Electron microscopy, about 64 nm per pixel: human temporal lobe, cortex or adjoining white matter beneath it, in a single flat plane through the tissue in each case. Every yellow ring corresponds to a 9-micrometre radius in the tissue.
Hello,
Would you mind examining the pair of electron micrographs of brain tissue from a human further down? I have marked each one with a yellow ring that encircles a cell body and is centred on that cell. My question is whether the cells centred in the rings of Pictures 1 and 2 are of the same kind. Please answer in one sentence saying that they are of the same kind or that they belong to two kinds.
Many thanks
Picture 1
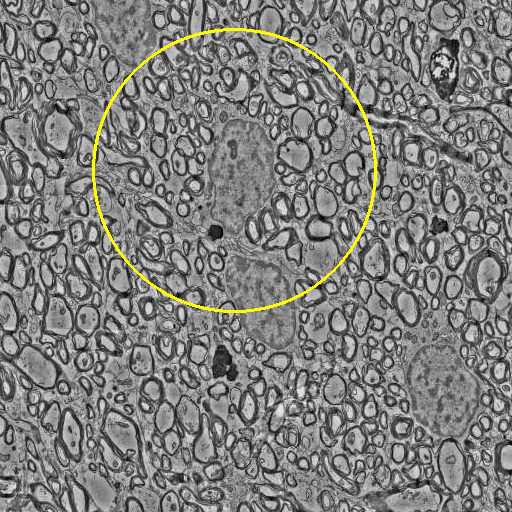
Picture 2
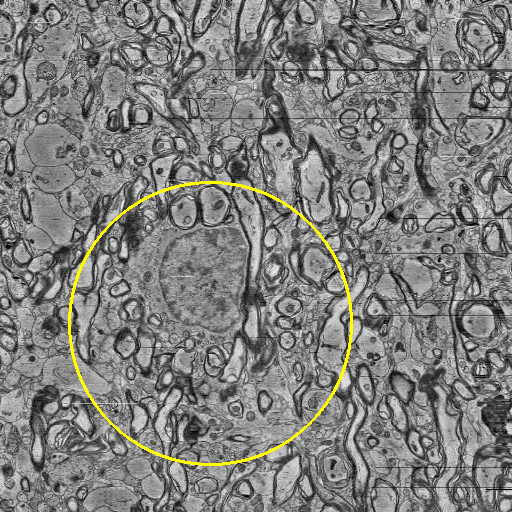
In Pictures 1 and 2, the cells at the heart of the rings are of the same kind.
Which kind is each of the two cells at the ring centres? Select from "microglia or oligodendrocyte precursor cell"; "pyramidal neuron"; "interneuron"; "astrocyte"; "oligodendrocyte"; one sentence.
The first and the second cell are each an oligodendrocyte.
